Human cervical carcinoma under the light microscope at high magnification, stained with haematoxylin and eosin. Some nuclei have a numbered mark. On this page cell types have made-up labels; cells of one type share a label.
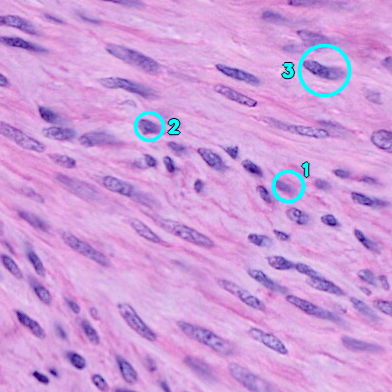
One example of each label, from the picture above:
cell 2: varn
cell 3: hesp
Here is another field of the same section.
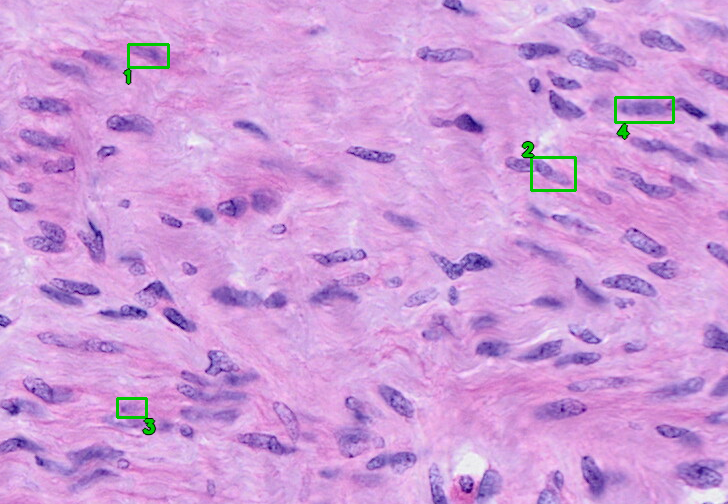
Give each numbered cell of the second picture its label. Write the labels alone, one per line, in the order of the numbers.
varn
varn
varn
hesp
